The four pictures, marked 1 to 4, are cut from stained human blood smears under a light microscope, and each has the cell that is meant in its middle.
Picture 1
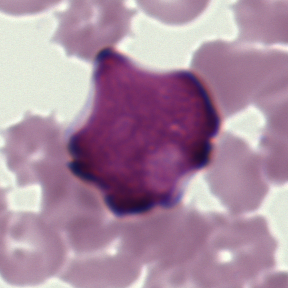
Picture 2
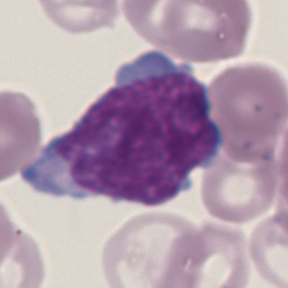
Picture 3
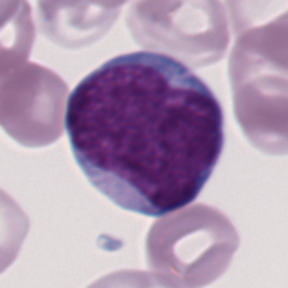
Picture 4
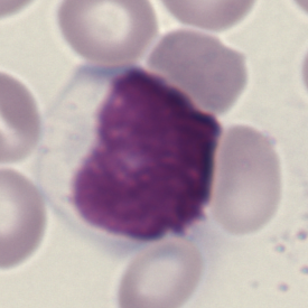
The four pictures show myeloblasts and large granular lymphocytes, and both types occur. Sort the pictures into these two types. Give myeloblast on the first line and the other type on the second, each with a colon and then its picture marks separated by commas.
myeloblast: 1, 2, 3
large granular lymphocyte: 4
